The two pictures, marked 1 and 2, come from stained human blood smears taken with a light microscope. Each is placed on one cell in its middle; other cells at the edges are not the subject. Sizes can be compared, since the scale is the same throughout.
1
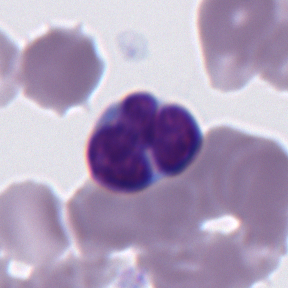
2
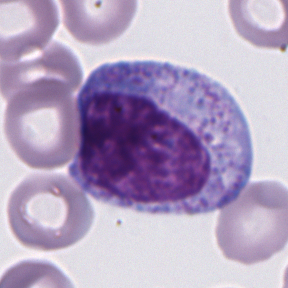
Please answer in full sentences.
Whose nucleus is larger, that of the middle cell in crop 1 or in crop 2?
The nucleus in crop 2 is larger, with about 1.5 times the area of the one in crop 1.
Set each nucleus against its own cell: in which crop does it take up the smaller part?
Of the two, the nucleus in crop 2 leaves more room for cytoplasm.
